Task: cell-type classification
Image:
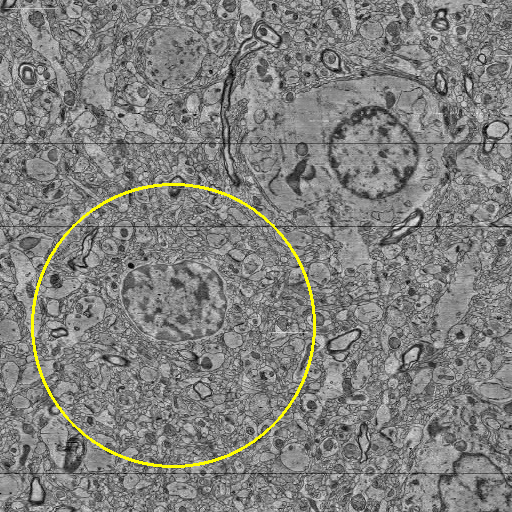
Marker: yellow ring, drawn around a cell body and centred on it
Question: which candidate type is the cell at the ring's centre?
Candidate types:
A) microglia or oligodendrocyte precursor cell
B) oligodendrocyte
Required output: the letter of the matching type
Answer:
A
